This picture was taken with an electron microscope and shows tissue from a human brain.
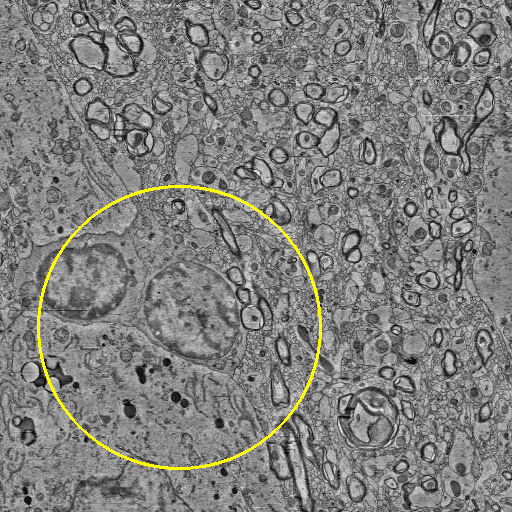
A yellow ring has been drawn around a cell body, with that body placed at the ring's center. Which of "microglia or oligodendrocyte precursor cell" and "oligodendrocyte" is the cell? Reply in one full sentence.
In this picture, an oligodendrocyte is the cell at the center of the yellow ring.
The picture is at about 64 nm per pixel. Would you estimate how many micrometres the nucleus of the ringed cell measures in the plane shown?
About 6 micrometers across, in this plane.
